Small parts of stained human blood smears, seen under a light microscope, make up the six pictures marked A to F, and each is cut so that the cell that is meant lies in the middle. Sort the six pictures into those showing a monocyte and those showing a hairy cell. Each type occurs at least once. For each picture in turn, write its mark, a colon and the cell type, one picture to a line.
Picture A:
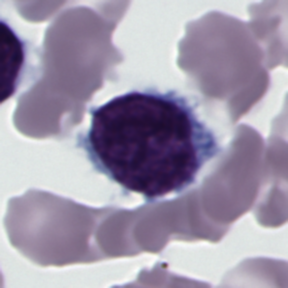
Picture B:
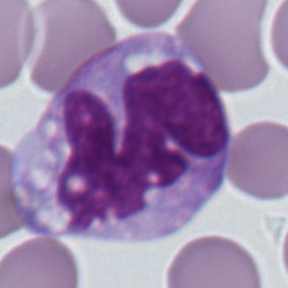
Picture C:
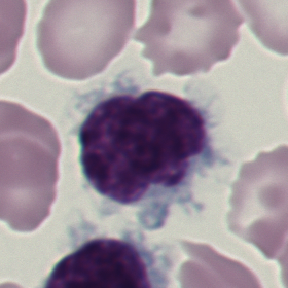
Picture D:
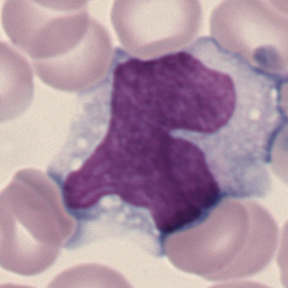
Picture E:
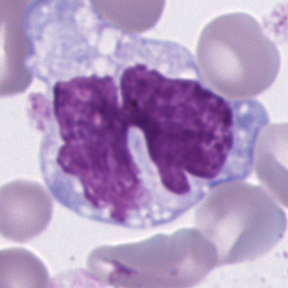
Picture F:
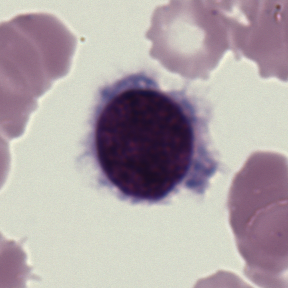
A: hairy cell
B: monocyte
C: hairy cell
D: monocyte
E: monocyte
F: hairy cell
